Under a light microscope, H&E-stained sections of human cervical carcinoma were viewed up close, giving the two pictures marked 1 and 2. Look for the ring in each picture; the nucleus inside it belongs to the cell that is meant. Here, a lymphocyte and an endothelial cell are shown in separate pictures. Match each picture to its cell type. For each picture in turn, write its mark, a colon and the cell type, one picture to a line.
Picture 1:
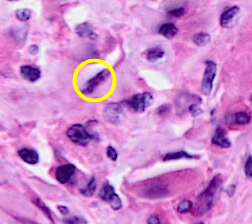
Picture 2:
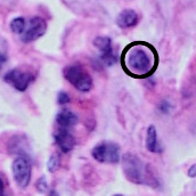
1: endothelial cell
2: lymphocyte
